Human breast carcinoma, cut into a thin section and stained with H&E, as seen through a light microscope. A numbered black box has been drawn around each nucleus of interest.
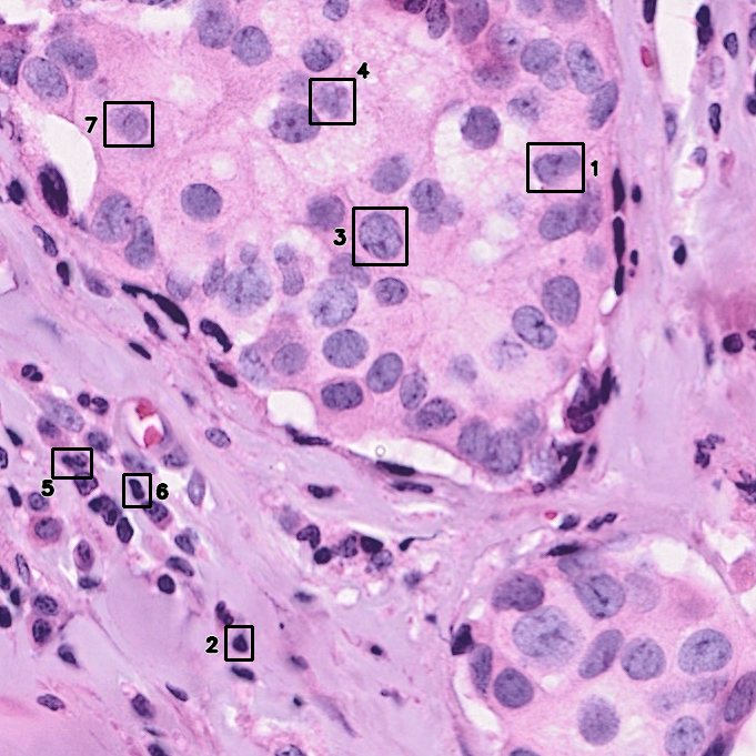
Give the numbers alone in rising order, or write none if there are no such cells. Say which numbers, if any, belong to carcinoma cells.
1, 3, 4, 7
